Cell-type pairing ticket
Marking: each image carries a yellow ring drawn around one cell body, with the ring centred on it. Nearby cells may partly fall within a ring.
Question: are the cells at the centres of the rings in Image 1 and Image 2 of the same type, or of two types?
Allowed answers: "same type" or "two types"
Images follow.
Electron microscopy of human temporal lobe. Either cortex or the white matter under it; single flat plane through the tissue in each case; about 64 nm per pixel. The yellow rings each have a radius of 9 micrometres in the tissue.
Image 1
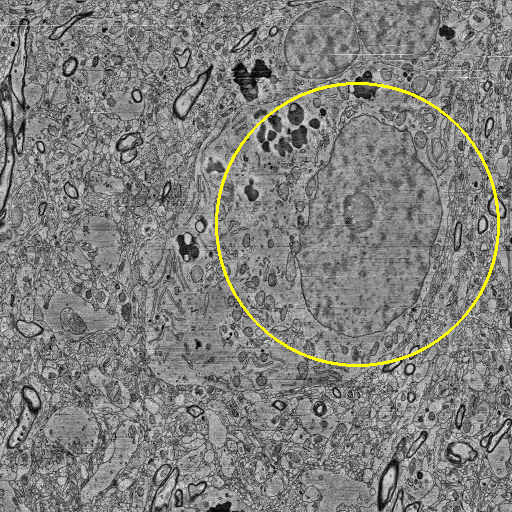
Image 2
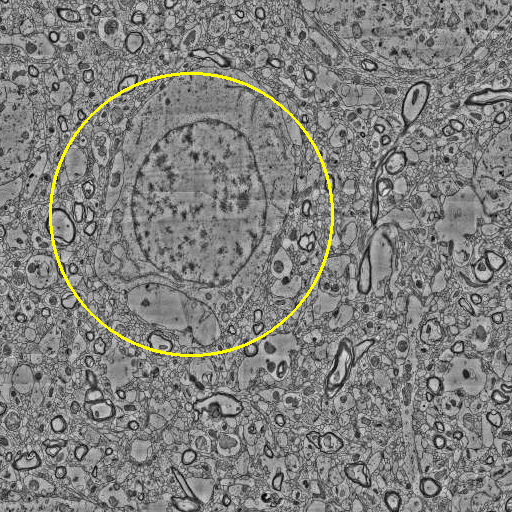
same type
